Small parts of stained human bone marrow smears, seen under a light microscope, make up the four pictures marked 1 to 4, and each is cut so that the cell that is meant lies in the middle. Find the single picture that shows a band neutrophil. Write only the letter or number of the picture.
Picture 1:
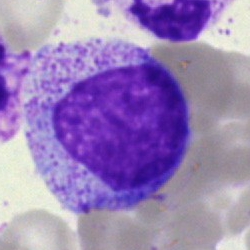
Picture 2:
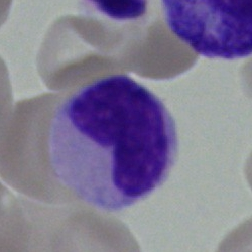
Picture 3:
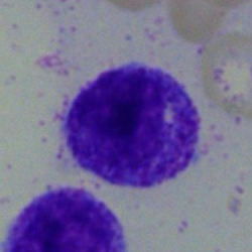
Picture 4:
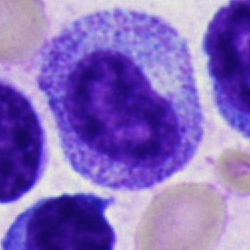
2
